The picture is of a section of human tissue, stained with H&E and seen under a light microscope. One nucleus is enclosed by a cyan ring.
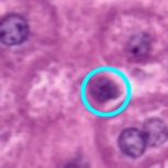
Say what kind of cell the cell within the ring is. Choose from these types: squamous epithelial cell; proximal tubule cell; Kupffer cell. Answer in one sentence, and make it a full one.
In this section, the cell within the ring is a Kupffer cell.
